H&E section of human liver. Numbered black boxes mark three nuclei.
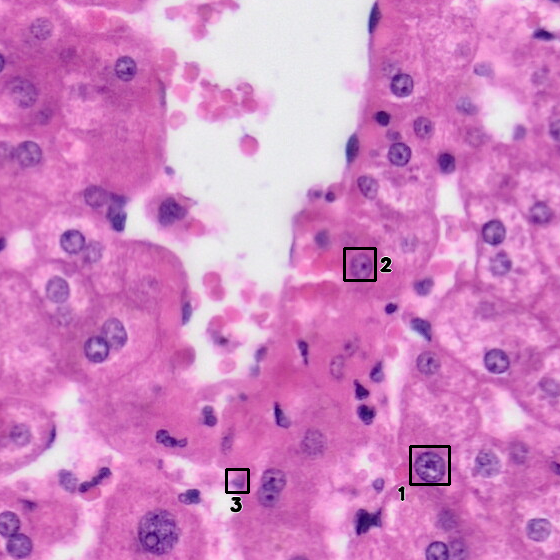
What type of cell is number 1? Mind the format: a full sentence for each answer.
The nucleus marked 1 is the nucleus of a hepatocyte.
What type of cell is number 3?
In this section, the cell tagged 3 is a fibroblast or stellate cell.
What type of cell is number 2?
Among the marked nuclei, number 2 belongs to a hepatocyte.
